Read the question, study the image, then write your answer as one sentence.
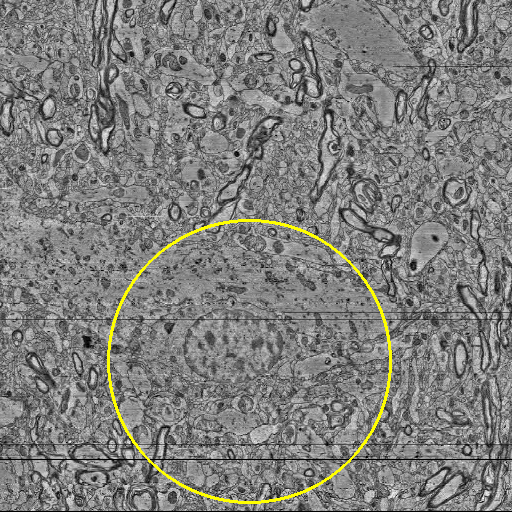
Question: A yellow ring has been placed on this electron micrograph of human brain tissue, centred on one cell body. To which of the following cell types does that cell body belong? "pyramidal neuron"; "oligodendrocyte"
That cell body belongs to an oligodendrocyte.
